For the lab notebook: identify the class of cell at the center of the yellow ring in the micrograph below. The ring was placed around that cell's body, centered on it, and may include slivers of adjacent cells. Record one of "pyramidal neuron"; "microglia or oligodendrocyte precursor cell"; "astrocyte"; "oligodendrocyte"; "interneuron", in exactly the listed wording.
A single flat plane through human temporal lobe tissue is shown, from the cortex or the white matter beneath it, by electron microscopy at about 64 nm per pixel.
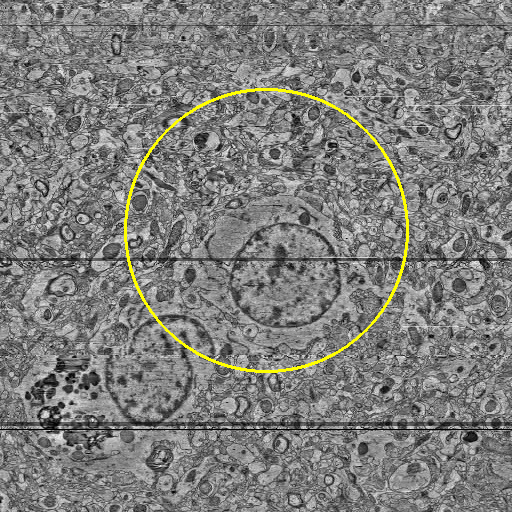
astrocyte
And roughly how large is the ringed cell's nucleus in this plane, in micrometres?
About 7 micrometres across, as seen in this plane.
